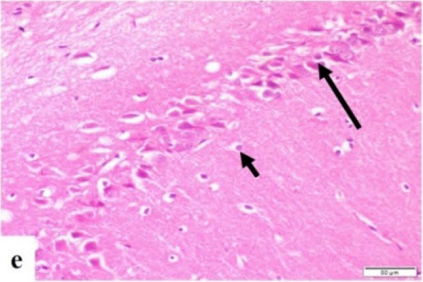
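Hippocampal tissue with a loose, irregular band of pyramidal neurons crossing a pink neuropil. Many neurons are shrunken, angular and deeply eosinophilic with indistinct nuclei, often surrounded by clear halos, and small dark glial nuclei are scattered among them.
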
